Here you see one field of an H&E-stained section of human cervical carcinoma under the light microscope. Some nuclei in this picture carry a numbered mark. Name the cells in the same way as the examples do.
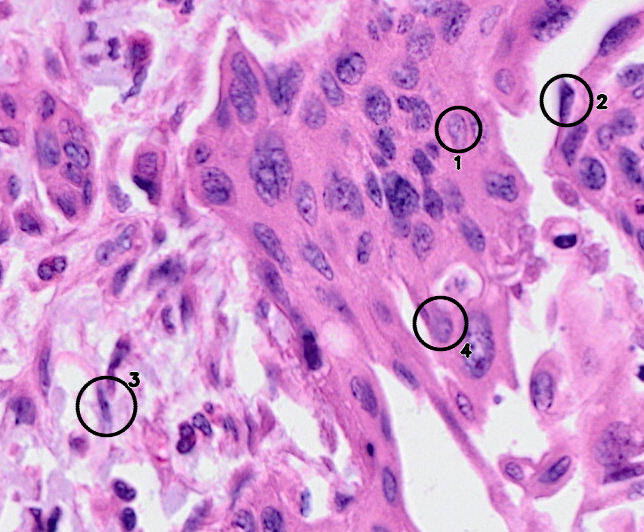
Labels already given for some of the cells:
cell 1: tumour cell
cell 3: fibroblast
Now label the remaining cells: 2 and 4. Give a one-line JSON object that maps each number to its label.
{"2": "tumour cell", "4": "tumour cell"}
